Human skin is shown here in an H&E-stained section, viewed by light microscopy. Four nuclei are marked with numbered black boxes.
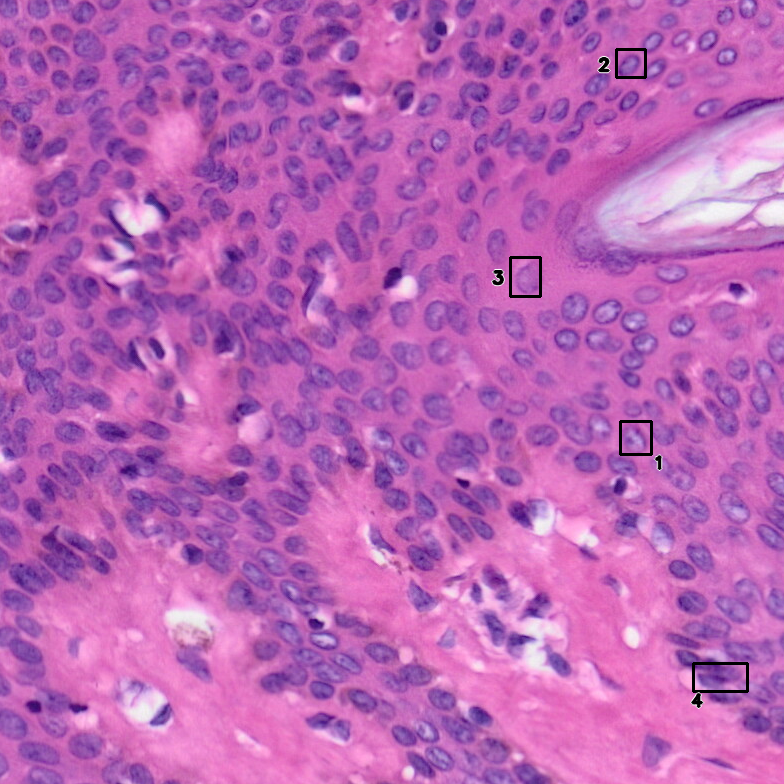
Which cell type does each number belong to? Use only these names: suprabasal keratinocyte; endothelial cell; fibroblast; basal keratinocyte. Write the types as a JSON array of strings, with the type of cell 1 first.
["suprabasal keratinocyte", "suprabasal keratinocyte", "suprabasal keratinocyte", "basal keratinocyte"]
